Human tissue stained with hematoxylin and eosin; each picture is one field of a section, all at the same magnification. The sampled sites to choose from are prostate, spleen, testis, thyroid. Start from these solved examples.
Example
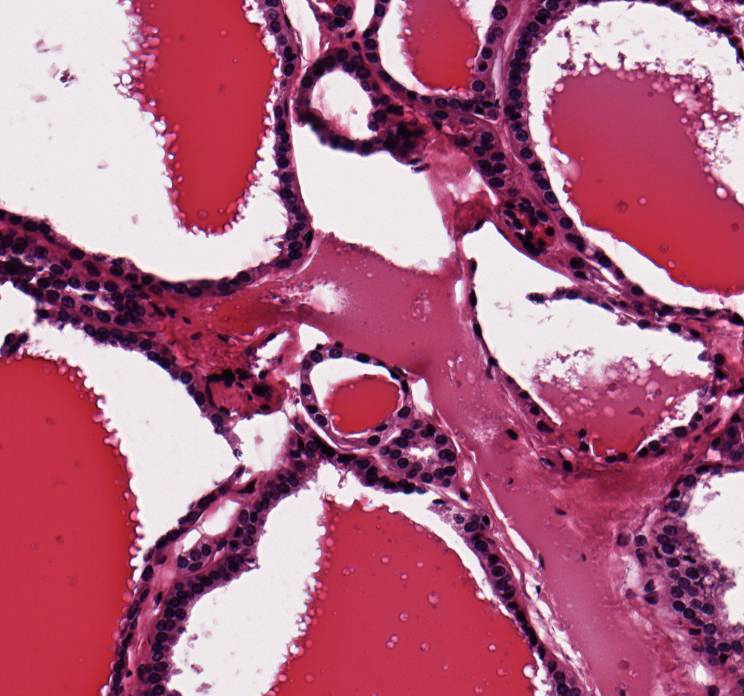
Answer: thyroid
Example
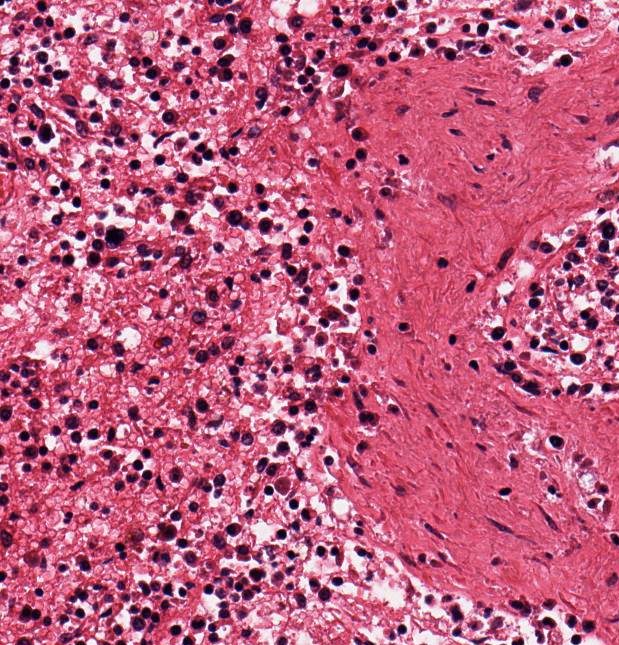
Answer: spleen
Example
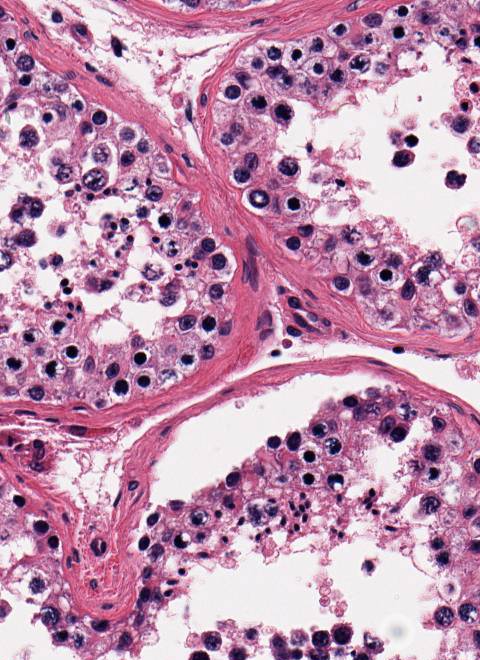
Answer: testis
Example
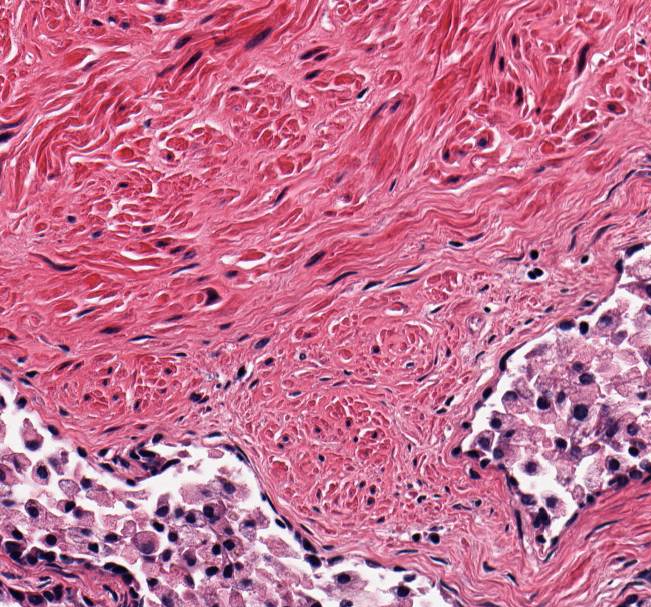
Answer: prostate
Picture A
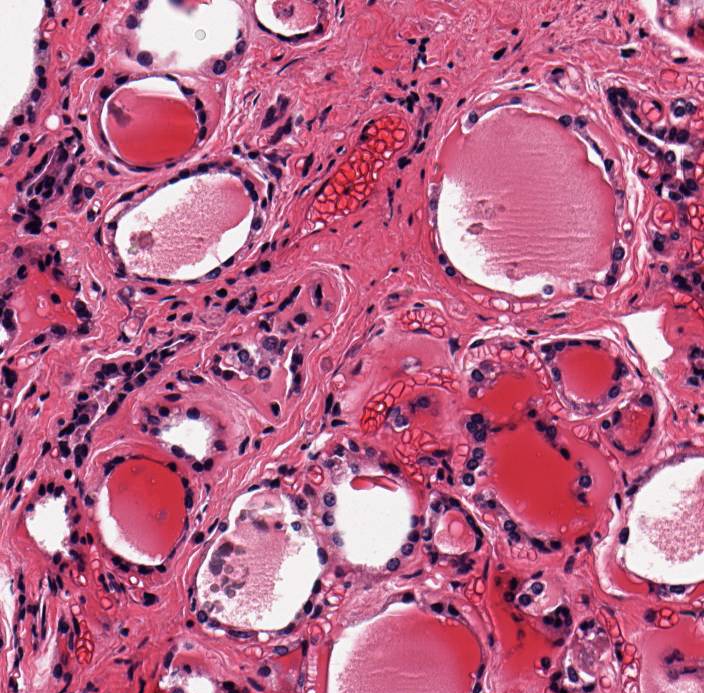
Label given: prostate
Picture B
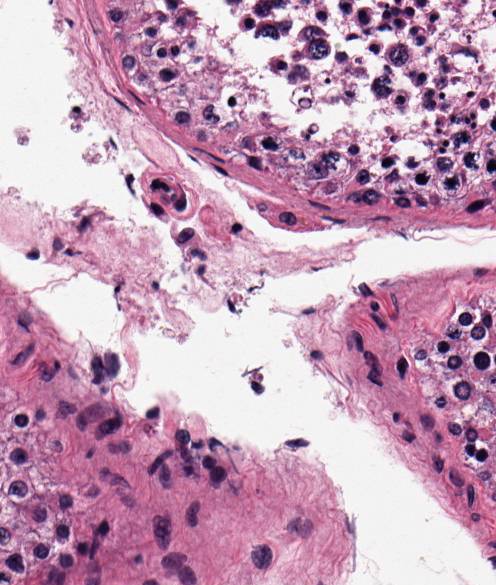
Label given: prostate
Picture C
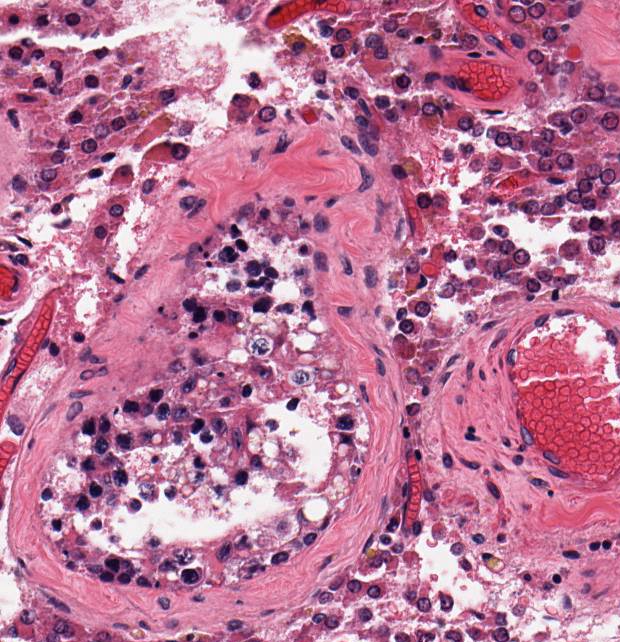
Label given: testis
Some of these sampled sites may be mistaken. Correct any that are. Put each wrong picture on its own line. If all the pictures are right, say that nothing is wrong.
Wrong: A (prostate); correct: thyroid
Wrong: B (prostate); correct: testis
